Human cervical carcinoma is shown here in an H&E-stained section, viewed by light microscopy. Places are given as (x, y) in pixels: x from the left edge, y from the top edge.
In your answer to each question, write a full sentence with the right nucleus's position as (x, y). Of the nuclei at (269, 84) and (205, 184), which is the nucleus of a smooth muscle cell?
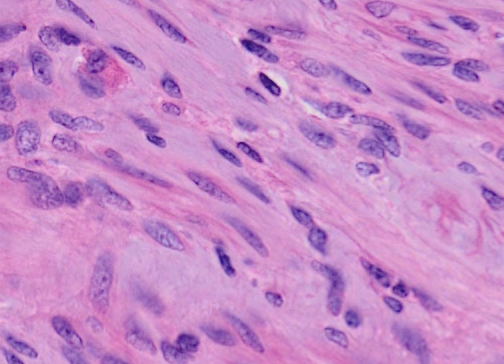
The nucleus contained in a smooth muscle cell is the one at (205, 184).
